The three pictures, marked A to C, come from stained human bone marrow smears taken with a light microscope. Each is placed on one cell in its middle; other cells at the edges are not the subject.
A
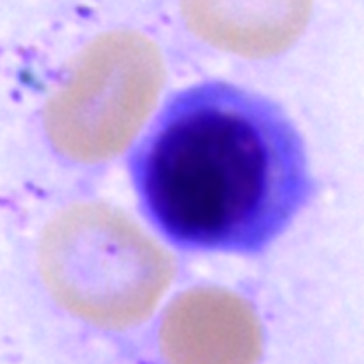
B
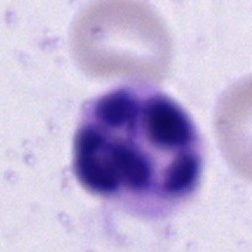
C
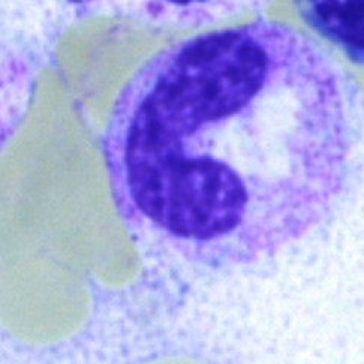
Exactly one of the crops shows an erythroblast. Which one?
A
